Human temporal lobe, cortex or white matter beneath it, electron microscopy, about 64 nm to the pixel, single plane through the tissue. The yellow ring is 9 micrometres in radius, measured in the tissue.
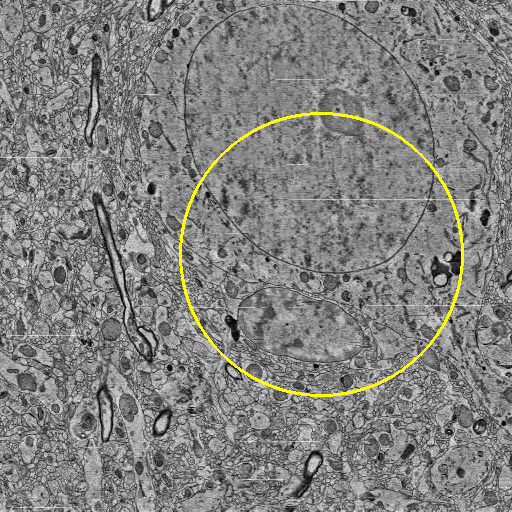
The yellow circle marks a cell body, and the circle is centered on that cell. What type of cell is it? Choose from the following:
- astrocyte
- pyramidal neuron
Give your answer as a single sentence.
This cell body belongs to a pyramidal neuron.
